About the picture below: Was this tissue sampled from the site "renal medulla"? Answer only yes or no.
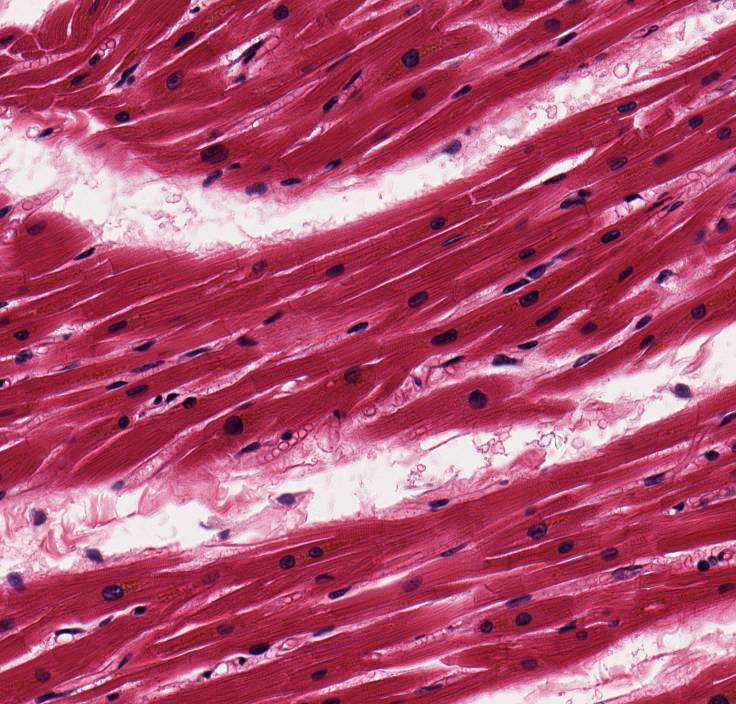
no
